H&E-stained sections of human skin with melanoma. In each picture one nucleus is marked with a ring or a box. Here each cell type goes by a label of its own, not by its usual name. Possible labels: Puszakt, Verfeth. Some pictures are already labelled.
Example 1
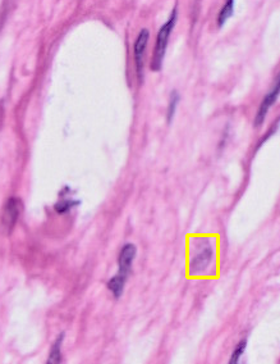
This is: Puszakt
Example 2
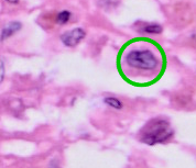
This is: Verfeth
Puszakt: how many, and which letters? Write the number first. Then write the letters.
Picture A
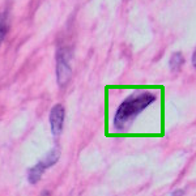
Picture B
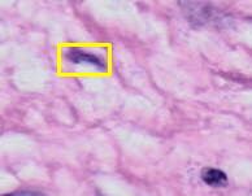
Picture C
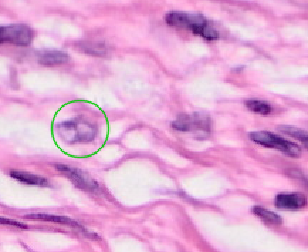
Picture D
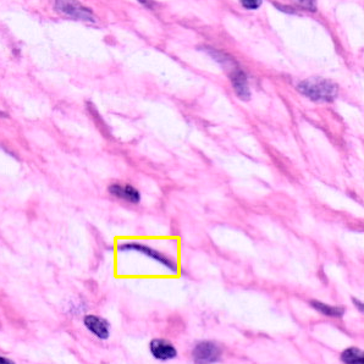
4: A, B, C, D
